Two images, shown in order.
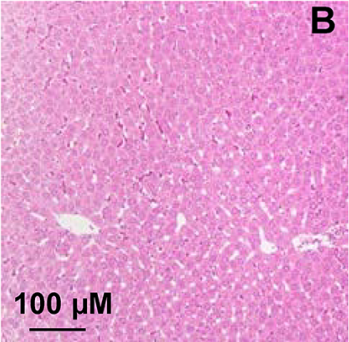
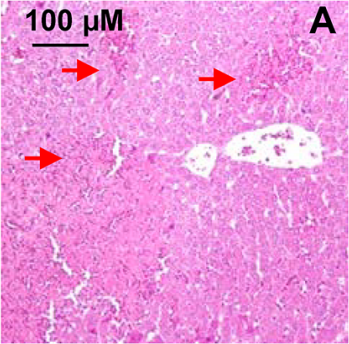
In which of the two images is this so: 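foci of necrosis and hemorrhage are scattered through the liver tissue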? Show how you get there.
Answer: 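First image: hepatocyte cords are regular and evenly pale pink throughout. Second image: several separate foci of disrupted, deeper red, speckled tissue. That points to this answer: the second image.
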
